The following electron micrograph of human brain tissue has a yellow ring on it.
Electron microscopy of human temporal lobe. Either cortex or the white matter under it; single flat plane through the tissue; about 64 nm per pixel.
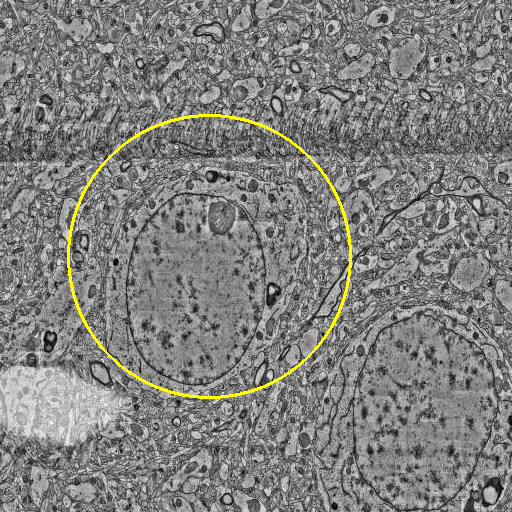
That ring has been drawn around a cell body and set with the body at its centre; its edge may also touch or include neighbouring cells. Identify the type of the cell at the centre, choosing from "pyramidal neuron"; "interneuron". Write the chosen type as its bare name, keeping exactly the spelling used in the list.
pyramidal neuron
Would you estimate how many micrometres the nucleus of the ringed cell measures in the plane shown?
The ringed cell's nucleus measures approximately 12 by 9 micrometres in this plane.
